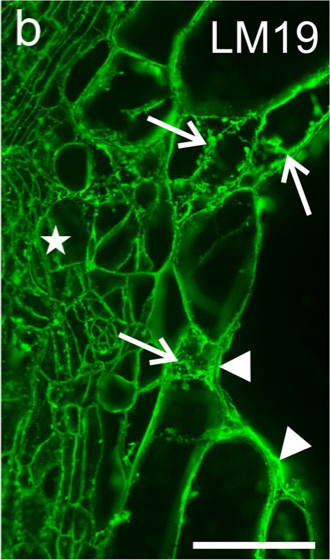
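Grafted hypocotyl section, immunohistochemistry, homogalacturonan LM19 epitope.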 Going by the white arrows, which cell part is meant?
Cytoplasmic compartments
